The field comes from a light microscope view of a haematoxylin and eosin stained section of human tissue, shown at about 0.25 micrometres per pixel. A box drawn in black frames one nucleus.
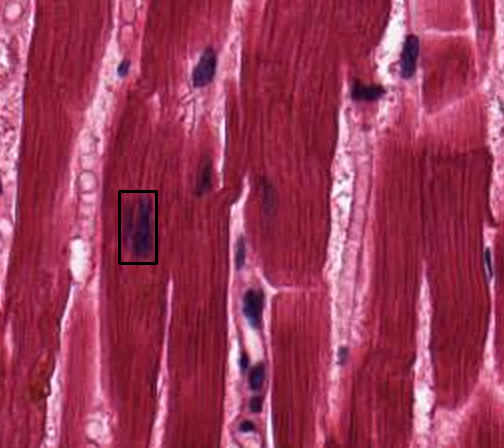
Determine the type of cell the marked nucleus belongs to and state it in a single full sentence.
The marked nucleus sits within a cardiomyocyte.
